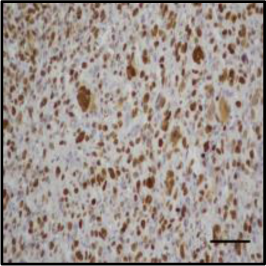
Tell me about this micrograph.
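Densely cellular tumor tissue in which many nuclei of varying size are stained brown against a pale background. The stained nuclei are scattered evenly across the field.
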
